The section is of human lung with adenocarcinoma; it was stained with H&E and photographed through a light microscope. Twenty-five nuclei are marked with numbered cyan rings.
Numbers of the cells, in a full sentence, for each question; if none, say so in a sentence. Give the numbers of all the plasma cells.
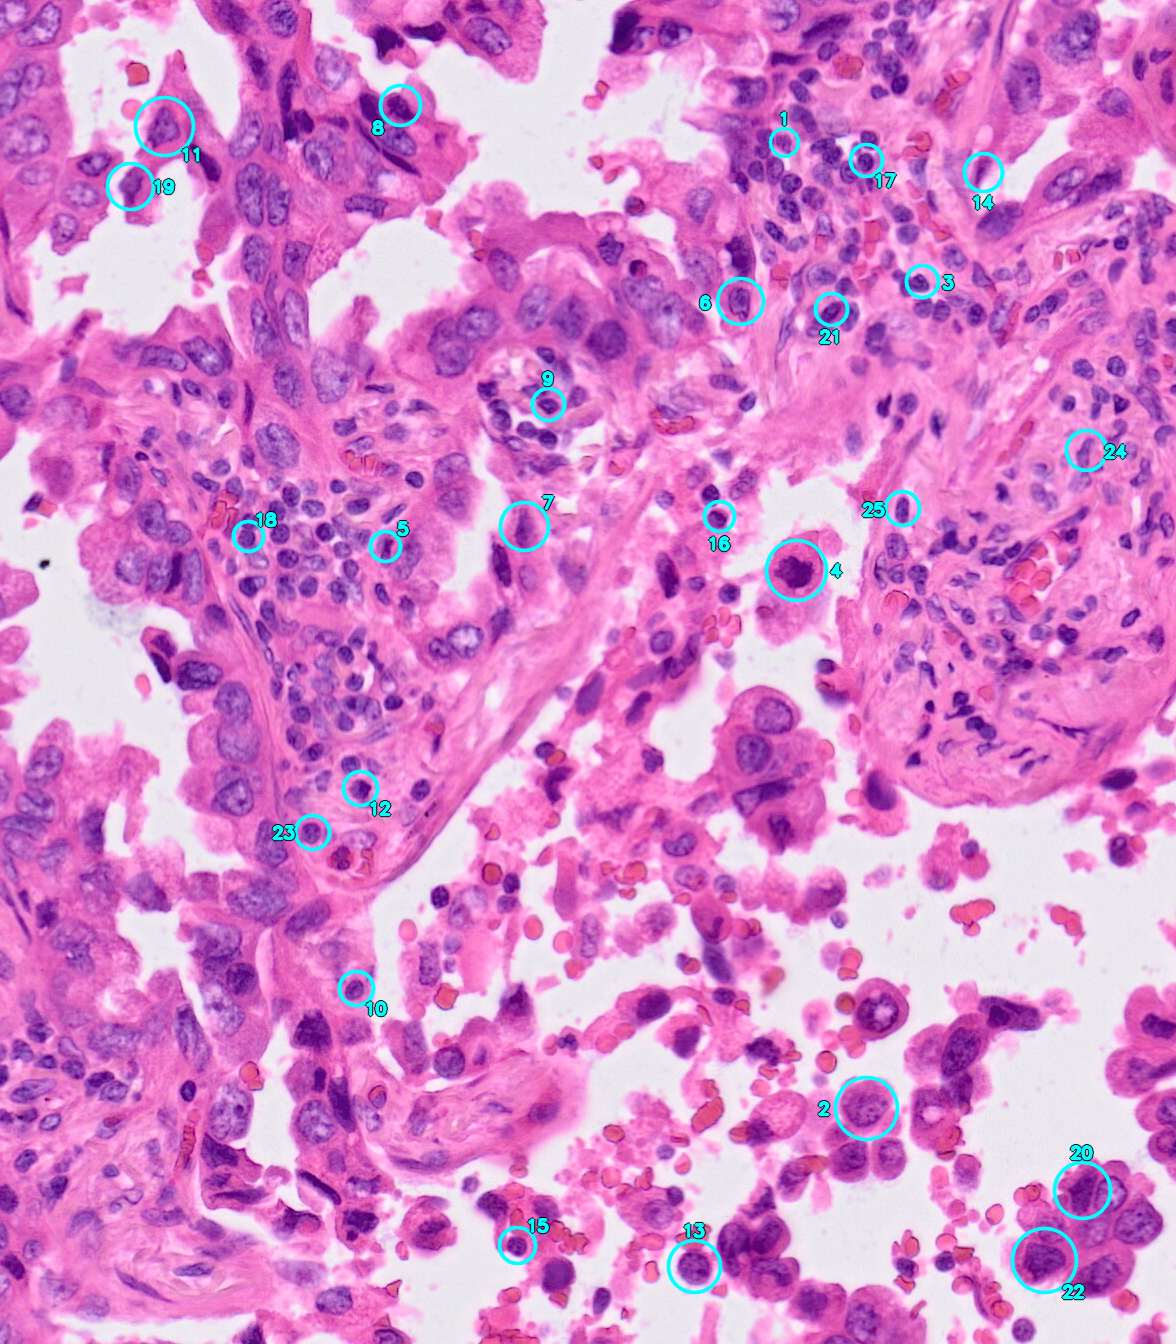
Cell 21 is the one numbered cell that is a plasma cell.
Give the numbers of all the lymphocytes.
The cells numbered 1, 3, 5, 9, 10, 12, 15, 16, 17, 18, 23, 24 and 25 fall into the category of lymphocytes.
